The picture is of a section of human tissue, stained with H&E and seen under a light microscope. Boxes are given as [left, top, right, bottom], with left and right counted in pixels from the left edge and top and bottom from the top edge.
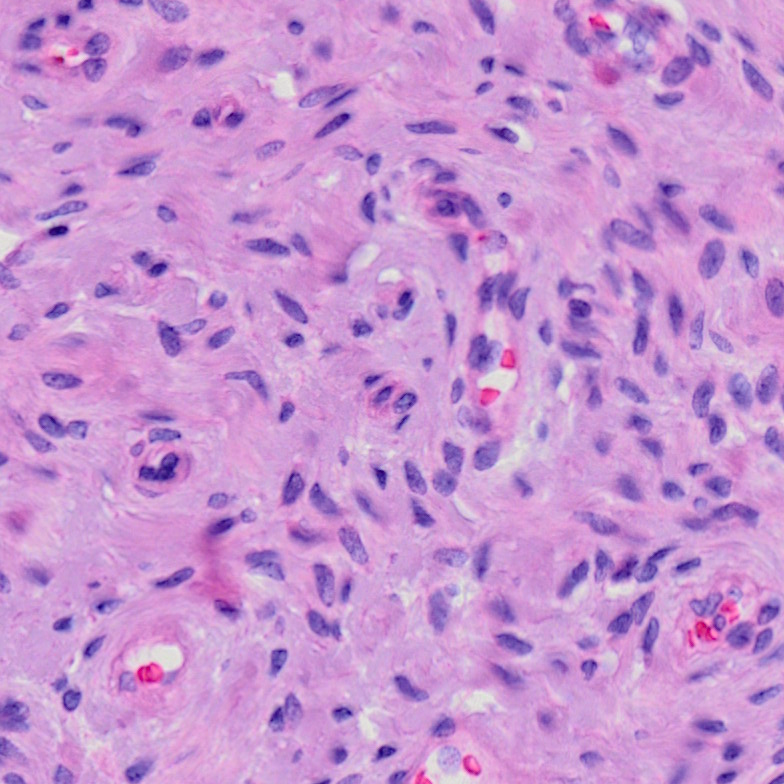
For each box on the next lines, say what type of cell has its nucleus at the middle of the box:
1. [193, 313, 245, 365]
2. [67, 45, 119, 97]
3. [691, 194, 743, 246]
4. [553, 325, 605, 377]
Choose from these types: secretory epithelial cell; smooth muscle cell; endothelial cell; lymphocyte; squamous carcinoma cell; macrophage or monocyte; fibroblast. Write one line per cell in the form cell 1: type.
cell 1: fibroblast
cell 2: endothelial cell
cell 3: fibroblast
cell 4: fibroblast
